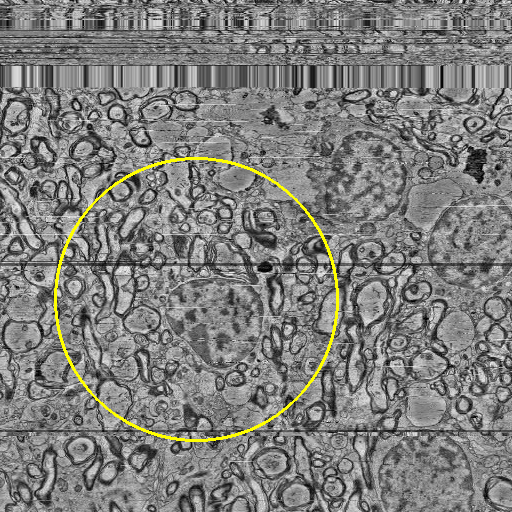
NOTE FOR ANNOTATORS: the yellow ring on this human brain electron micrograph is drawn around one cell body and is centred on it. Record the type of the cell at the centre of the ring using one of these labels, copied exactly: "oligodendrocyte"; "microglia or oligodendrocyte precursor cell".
microglia or oligodendrocyte precursor cell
